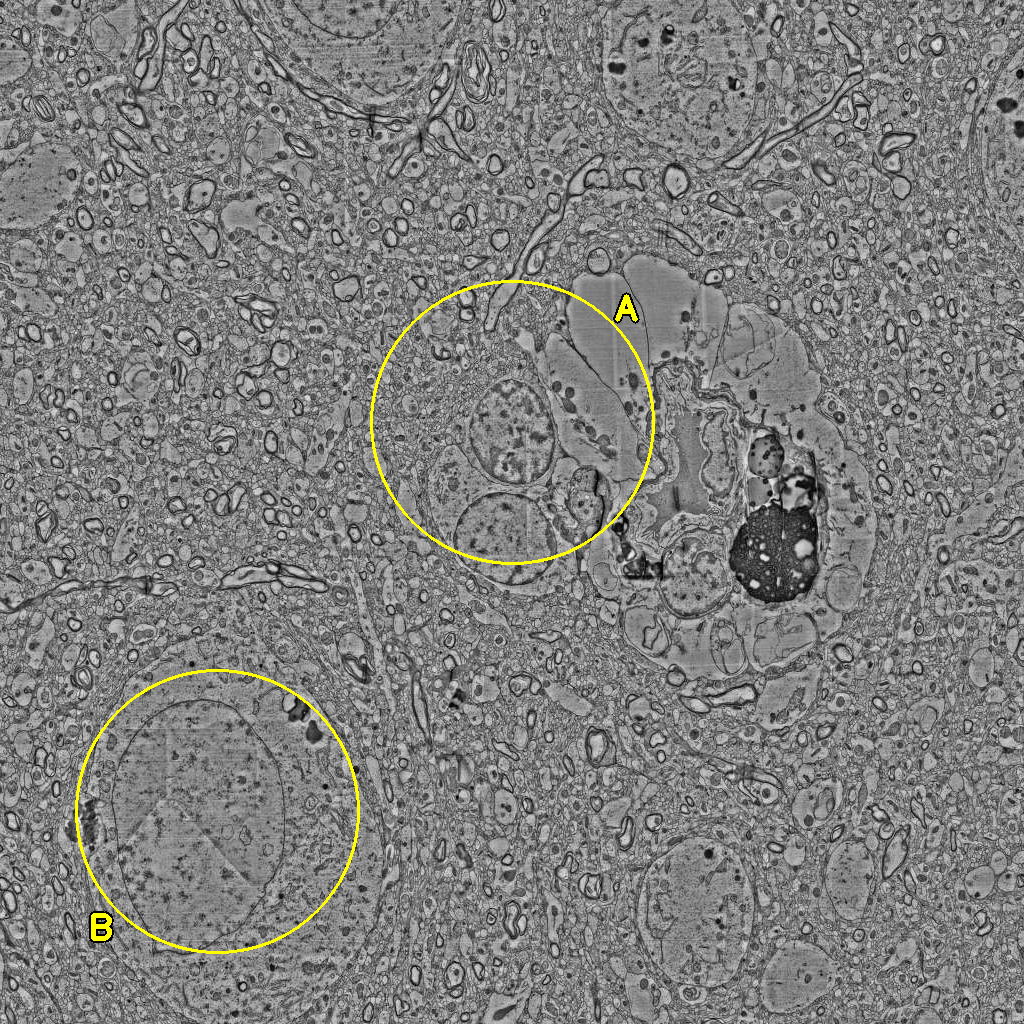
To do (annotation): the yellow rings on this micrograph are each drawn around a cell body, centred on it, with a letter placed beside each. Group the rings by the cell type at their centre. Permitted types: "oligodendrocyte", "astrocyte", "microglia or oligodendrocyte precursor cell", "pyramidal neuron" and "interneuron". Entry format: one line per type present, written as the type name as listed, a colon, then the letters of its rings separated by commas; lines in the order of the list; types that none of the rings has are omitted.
oligodendrocyte: A
pyramidal neuron: B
